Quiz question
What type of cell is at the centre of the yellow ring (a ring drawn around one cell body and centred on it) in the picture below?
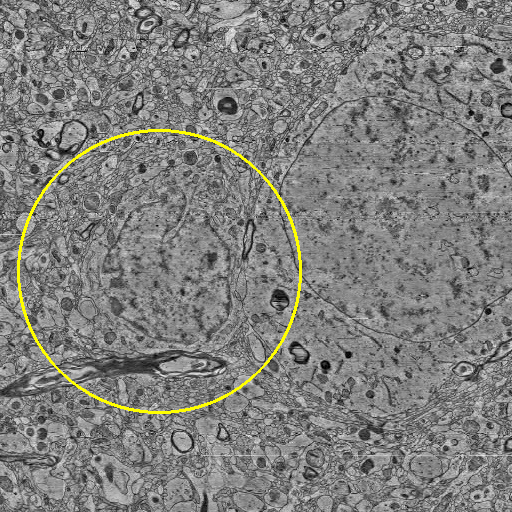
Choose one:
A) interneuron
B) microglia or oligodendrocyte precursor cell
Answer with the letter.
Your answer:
A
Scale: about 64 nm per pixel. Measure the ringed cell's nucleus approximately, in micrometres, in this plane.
The nucleus measures about 10 by 9 micrometres in this plane.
